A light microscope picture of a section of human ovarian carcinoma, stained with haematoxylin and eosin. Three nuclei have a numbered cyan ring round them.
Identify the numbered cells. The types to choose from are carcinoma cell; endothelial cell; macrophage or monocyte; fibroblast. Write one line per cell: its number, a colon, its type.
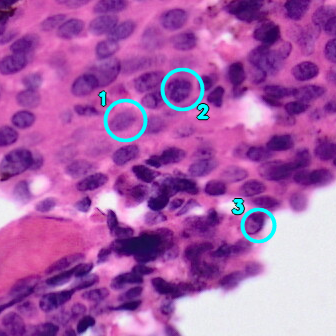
1: carcinoma cell
2: carcinoma cell
3: macrophage or monocyte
